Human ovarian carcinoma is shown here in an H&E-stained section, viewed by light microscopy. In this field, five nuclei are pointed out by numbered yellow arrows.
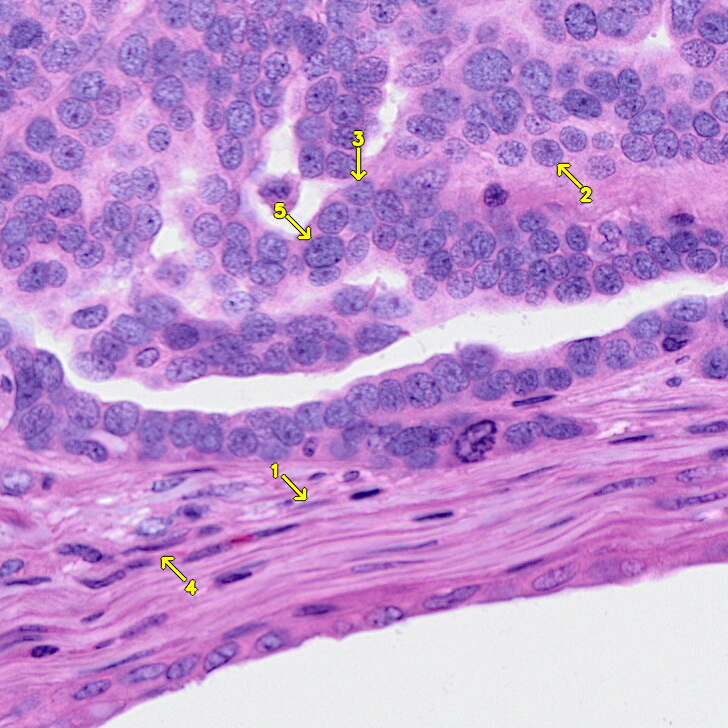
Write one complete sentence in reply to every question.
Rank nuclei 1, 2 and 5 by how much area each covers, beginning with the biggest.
Going from the biggest nucleus down to the smallest gives 5, 2, 1.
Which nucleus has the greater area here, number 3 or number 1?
Nucleus 3 covers more area, about 2 times as much as nucleus 1.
